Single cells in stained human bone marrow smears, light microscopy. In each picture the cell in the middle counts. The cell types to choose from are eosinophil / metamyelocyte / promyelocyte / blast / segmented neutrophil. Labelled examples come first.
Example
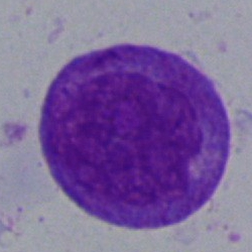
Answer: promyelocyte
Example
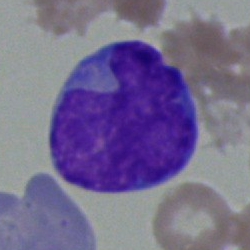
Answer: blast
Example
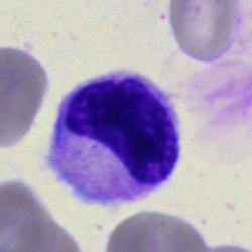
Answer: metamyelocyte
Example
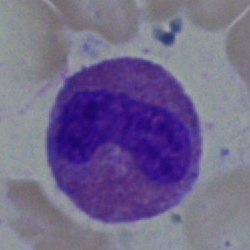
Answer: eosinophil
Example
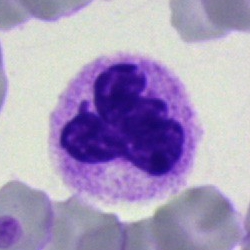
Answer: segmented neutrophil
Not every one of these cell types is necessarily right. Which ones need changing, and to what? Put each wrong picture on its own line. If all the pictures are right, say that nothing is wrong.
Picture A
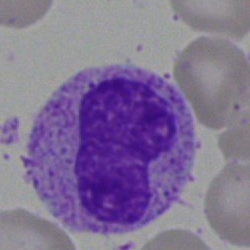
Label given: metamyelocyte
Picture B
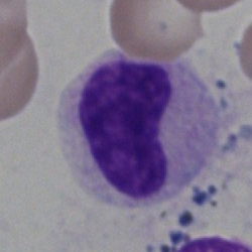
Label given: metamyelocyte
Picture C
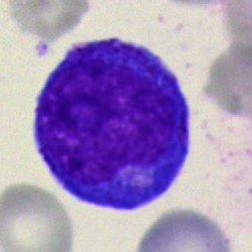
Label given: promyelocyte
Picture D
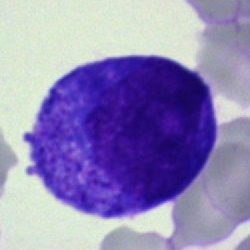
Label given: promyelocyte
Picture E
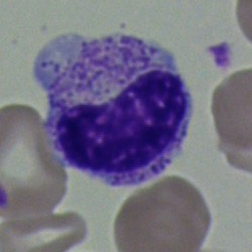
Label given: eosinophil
E: change eosinophil to metamyelocyte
